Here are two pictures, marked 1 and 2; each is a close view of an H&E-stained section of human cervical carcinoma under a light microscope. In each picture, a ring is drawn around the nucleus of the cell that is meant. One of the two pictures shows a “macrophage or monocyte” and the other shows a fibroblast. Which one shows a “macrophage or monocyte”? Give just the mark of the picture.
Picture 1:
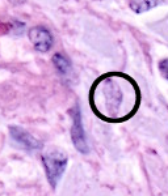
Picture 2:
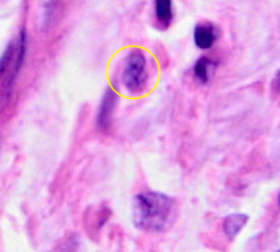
2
